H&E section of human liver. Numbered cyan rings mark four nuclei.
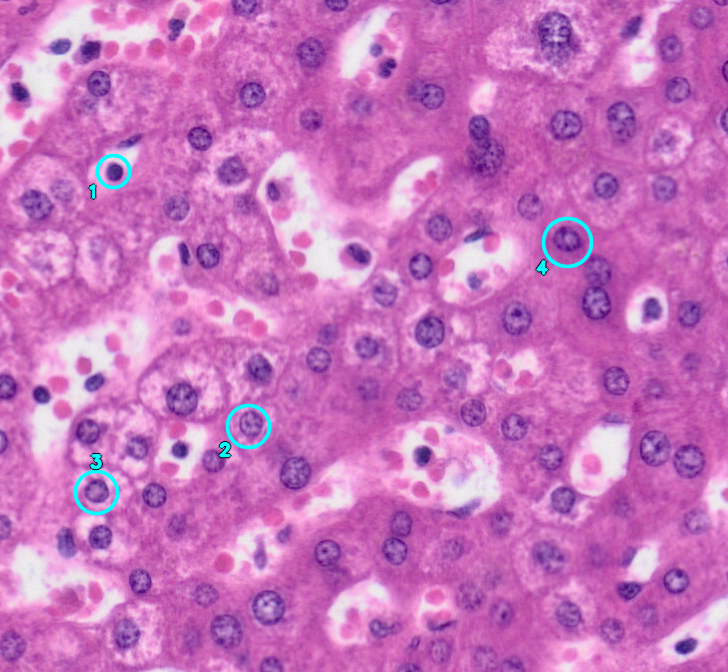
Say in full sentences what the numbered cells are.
Cell 1 is a lymphocyte, cell 2 is a hepatocyte, cell 3 is a hepatocyte and cell 4 is a hepatocyte.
